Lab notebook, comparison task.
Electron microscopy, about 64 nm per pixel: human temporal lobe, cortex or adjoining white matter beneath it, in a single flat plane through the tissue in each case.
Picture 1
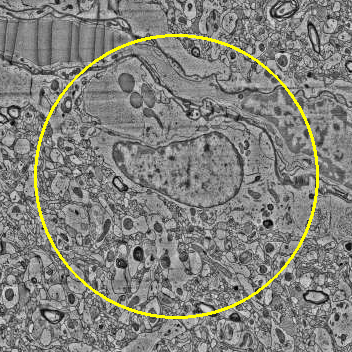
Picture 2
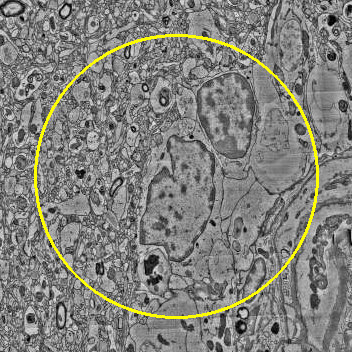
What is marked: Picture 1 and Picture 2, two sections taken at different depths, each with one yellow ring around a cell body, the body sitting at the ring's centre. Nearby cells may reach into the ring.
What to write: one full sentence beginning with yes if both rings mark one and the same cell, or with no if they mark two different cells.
No, two different cells are marked by the two rings.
